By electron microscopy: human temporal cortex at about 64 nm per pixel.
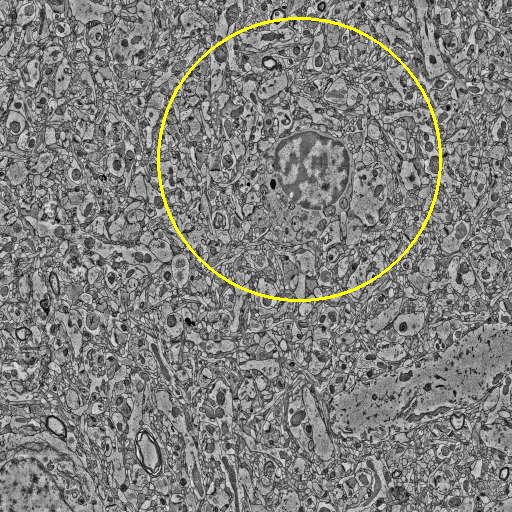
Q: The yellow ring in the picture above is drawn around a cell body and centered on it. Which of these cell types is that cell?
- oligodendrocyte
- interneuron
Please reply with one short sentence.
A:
The cell body at the ring's center belongs to an oligodendrocyte.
